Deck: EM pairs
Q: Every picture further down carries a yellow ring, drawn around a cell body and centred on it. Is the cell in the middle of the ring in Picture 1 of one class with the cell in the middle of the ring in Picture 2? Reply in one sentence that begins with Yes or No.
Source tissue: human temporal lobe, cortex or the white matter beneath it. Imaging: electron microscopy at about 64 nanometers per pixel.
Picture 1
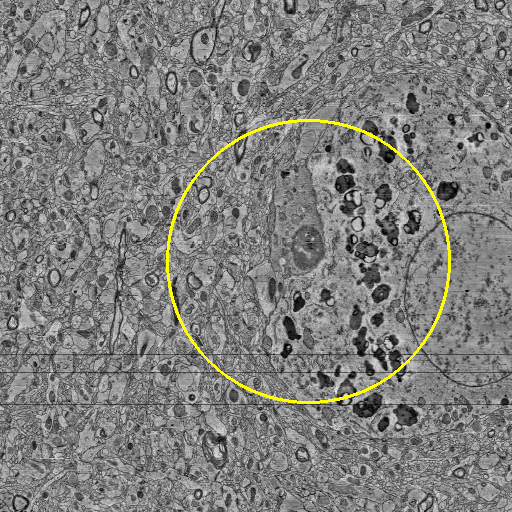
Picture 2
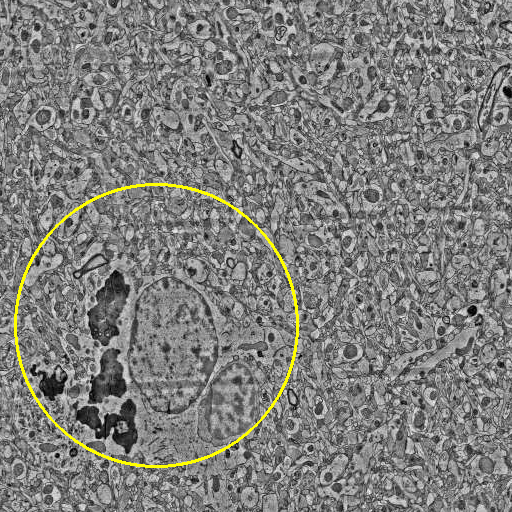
No, the cell centred in the ring of Picture 1 and the one in Picture 2 belong to separate classes.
